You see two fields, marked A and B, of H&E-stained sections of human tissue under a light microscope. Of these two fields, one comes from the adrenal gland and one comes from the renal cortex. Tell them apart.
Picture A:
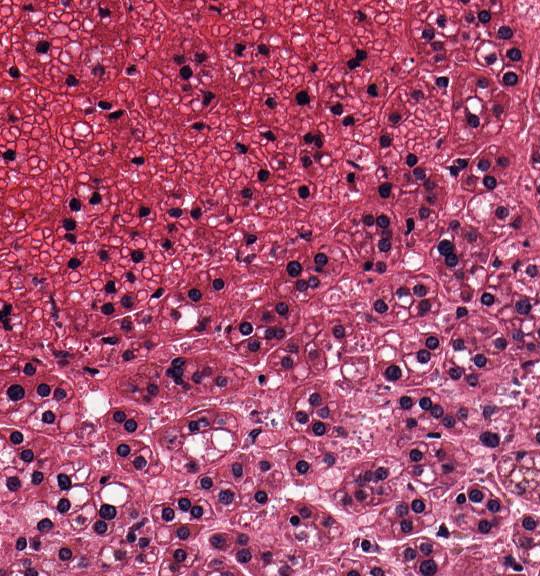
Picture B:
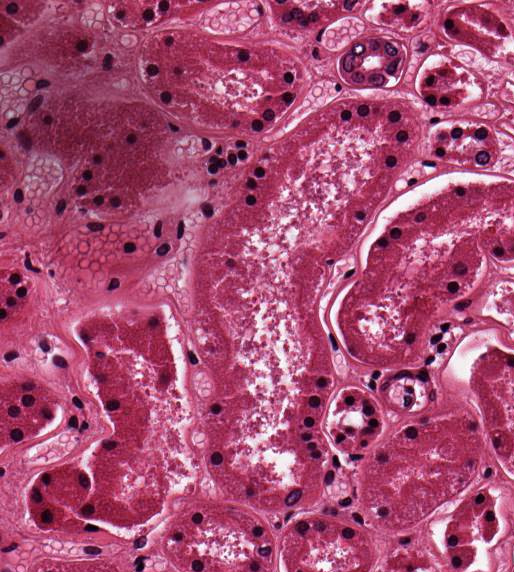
A: adrenal gland
B: renal cortex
